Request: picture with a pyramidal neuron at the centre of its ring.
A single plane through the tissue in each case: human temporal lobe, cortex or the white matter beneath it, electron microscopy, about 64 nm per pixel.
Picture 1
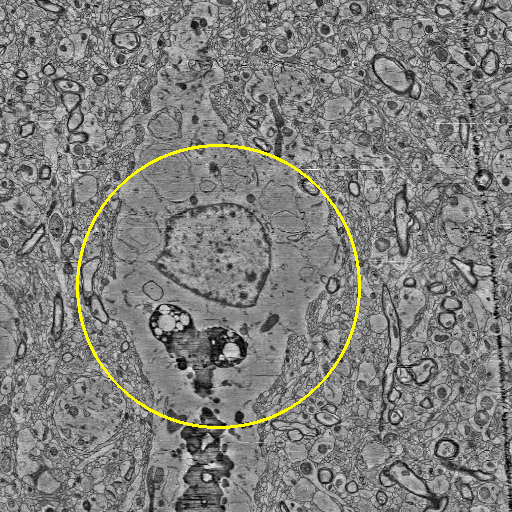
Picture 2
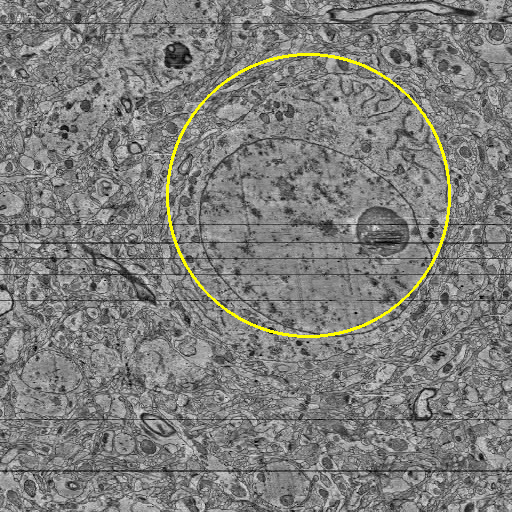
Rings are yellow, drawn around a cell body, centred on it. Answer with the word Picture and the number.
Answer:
Picture 2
